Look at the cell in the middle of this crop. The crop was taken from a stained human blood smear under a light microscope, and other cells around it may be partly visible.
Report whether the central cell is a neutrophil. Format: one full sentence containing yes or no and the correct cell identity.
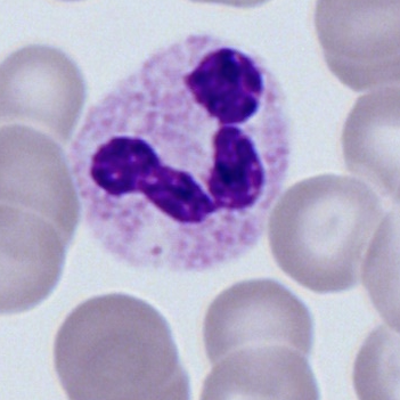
Yes, the centrally placed cell is a neutrophil.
